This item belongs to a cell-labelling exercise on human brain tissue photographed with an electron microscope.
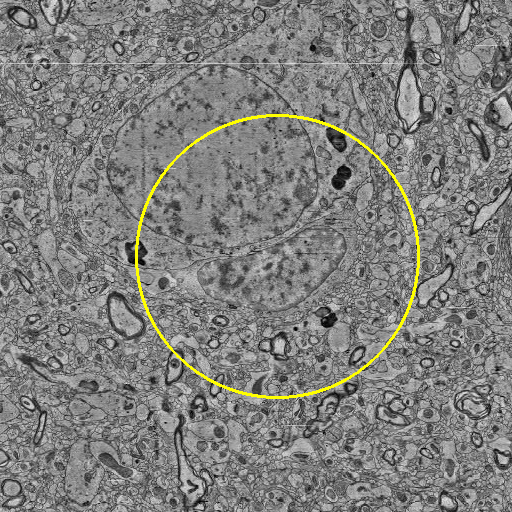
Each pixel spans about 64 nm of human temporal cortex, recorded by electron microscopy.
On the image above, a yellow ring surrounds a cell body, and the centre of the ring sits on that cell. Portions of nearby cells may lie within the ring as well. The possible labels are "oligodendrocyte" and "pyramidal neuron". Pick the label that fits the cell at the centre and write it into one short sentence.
This cell should be labelled as an oligodendrocyte.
